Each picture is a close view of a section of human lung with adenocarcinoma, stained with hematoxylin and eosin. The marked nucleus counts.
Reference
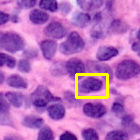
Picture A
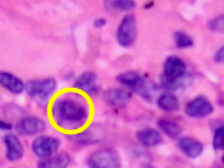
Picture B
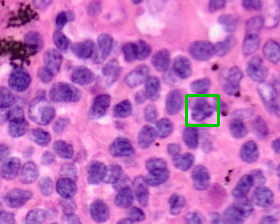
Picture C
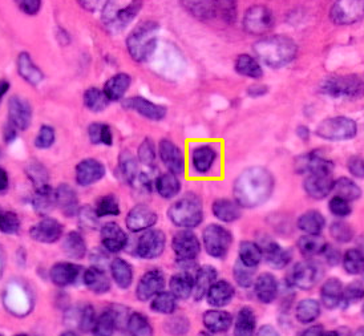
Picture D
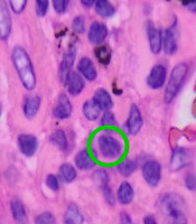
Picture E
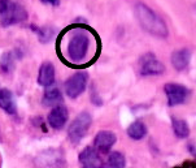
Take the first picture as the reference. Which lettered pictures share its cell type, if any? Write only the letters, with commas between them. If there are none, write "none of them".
B, C, D, E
